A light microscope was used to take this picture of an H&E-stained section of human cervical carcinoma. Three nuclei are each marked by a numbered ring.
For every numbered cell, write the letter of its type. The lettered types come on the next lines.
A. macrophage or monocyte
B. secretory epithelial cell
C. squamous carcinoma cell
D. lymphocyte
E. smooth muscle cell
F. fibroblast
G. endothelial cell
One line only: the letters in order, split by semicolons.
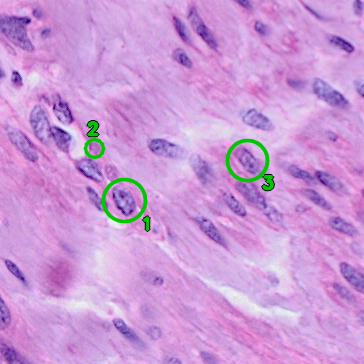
G; G; E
